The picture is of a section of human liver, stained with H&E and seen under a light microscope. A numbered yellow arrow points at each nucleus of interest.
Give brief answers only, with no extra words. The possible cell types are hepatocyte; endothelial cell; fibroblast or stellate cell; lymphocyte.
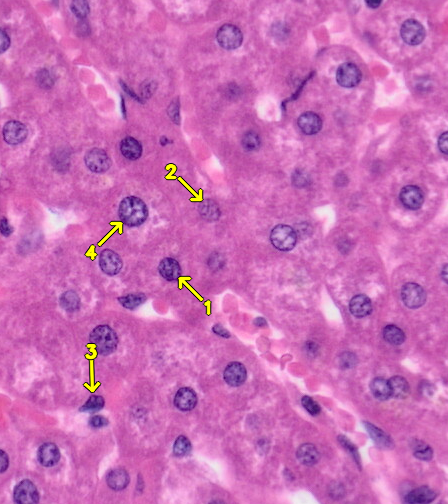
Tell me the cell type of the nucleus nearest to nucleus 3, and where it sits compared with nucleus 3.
a lymphocyte; below nucleus 3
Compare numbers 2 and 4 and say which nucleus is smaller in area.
2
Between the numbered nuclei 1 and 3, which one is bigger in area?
1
